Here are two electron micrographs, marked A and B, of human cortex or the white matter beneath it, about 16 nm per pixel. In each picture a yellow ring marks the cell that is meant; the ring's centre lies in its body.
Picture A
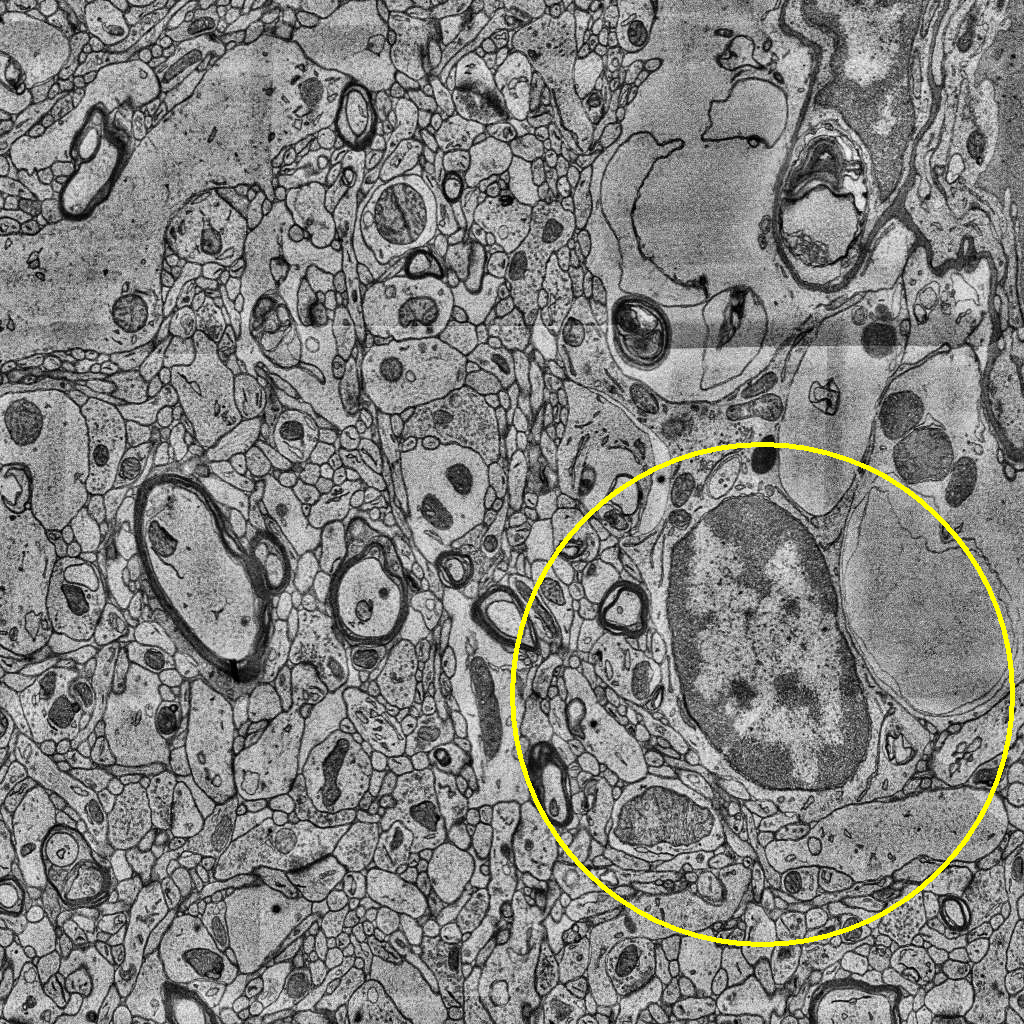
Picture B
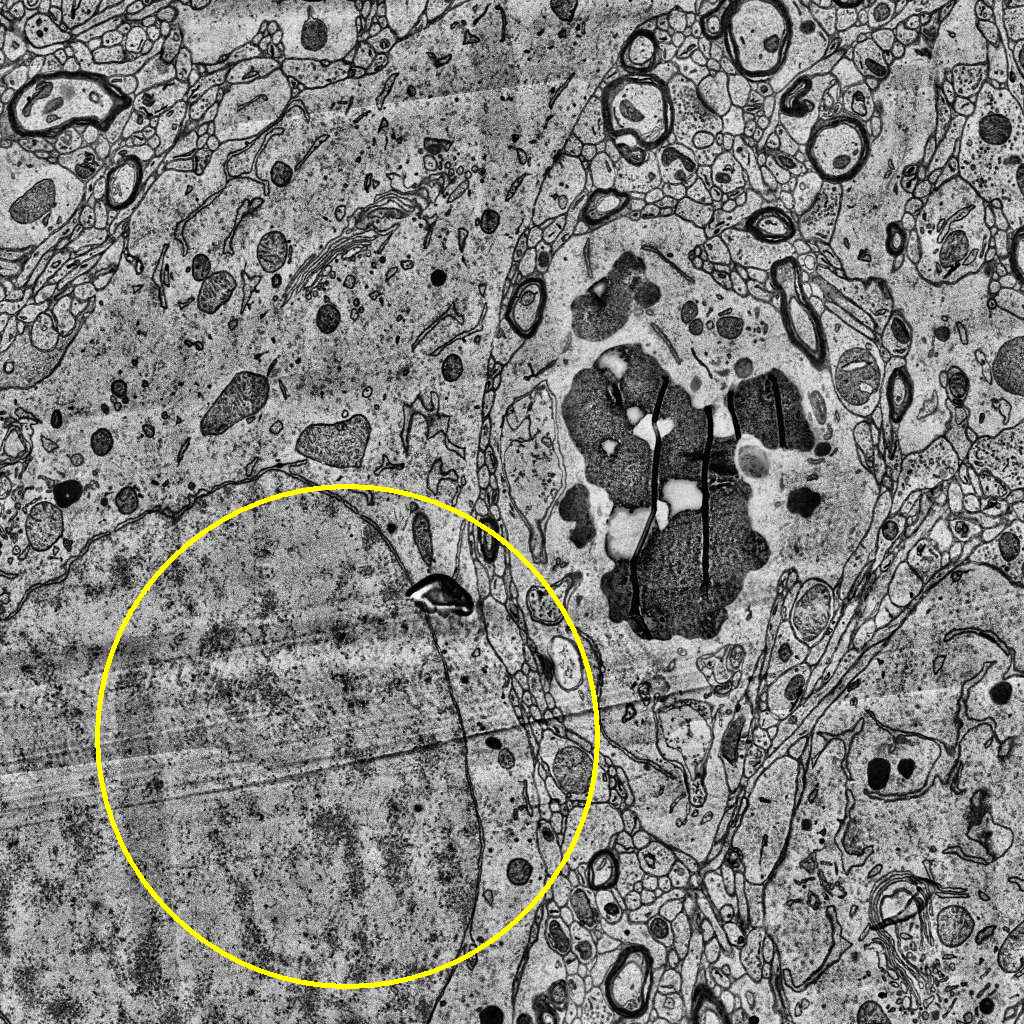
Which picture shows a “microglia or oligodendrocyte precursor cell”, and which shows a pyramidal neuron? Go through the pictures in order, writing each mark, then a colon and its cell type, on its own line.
A: microglia or oligodendrocyte precursor cell
B: pyramidal neuron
